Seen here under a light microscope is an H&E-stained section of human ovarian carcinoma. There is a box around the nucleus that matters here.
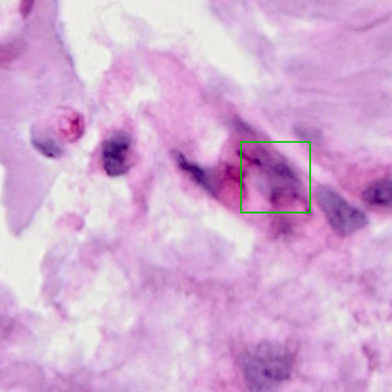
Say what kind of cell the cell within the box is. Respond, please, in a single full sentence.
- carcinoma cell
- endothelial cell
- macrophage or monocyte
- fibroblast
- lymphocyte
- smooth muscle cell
Labelled by cell type, the cell within the box is an endothelial cell.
